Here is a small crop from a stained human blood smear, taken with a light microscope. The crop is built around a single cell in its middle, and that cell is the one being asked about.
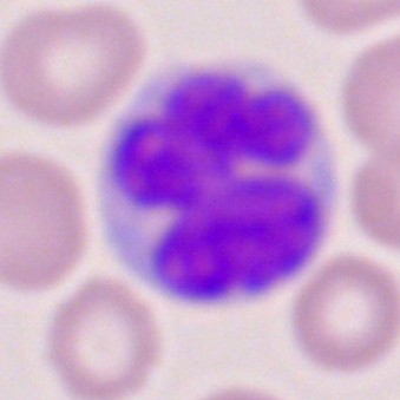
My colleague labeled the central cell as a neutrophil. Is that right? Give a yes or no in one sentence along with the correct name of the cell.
No, the cell in the centre of the crop is a monocyte as opposed to a neutrophil.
